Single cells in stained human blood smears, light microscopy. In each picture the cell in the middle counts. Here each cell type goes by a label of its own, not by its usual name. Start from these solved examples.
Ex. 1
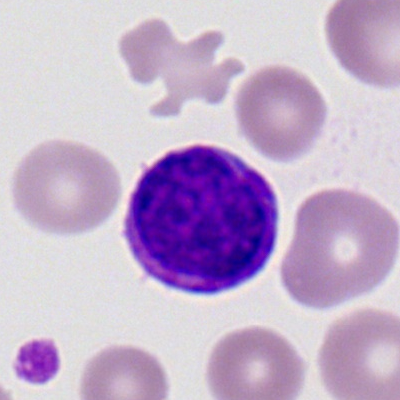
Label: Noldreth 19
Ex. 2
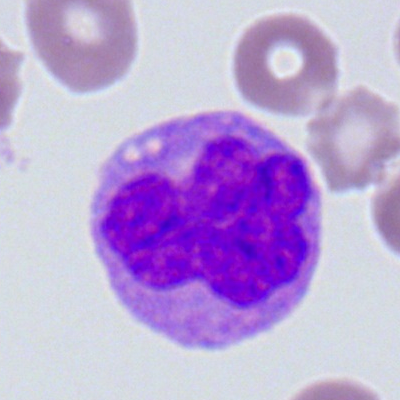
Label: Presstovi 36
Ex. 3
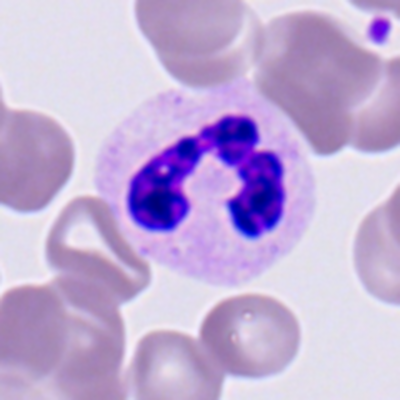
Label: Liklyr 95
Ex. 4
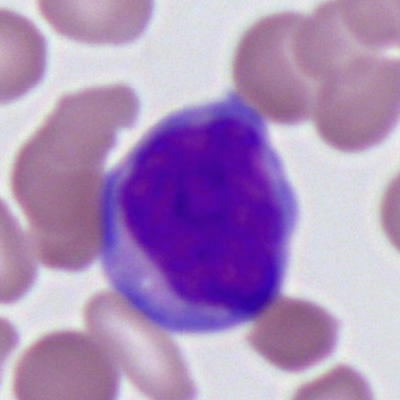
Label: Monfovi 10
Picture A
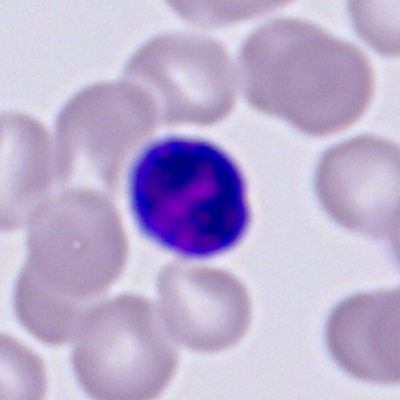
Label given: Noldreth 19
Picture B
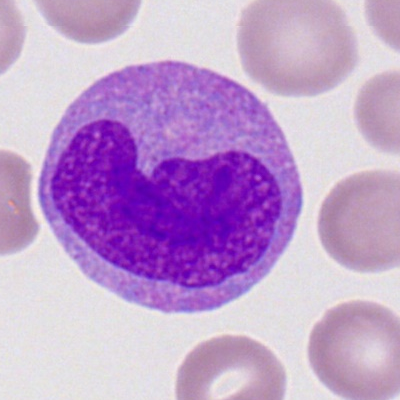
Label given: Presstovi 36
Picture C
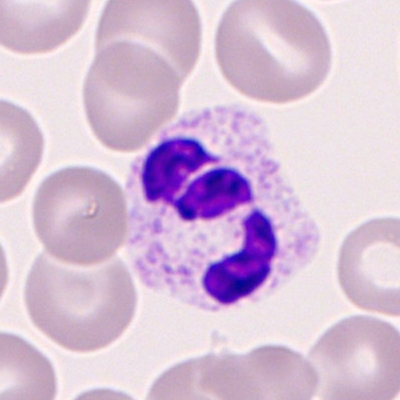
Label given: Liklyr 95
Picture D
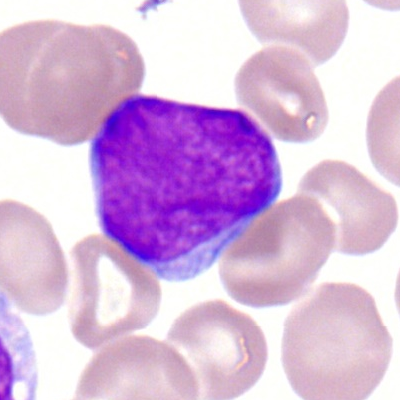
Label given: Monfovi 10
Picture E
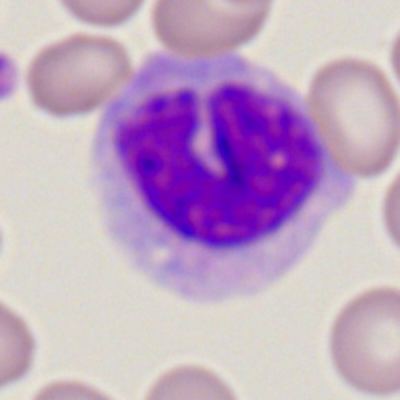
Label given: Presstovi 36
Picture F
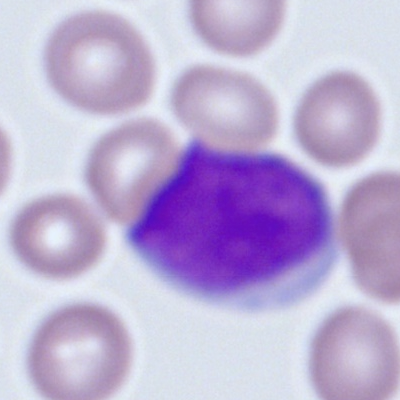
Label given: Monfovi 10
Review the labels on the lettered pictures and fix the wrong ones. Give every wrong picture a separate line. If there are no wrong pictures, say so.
Every label is right.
